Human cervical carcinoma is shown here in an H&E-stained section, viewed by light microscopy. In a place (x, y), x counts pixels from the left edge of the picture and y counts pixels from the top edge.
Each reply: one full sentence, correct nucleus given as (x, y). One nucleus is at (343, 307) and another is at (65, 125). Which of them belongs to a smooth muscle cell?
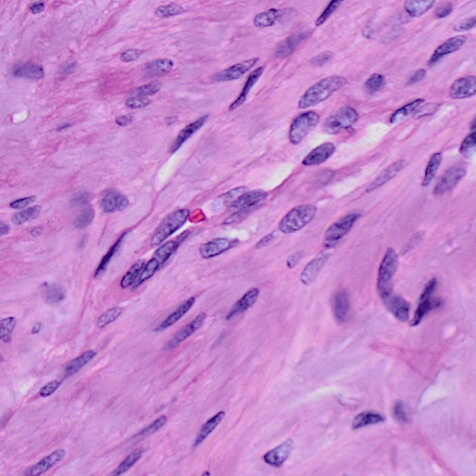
The nucleus at (65, 125) is attributed to a smooth muscle cell, unlike the other nucleus.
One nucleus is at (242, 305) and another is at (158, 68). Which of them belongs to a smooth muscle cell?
The nucleus of a smooth muscle cell is the one found at (158, 68), not the other.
